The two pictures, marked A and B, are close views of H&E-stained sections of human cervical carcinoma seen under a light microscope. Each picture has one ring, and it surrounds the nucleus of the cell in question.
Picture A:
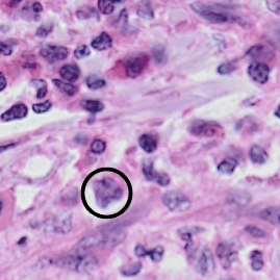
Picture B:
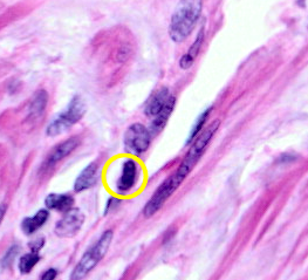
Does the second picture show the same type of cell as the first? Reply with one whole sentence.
No, they differ: the cell is a “macrophage or monocyte” in picture A and a lymphocyte in picture B.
